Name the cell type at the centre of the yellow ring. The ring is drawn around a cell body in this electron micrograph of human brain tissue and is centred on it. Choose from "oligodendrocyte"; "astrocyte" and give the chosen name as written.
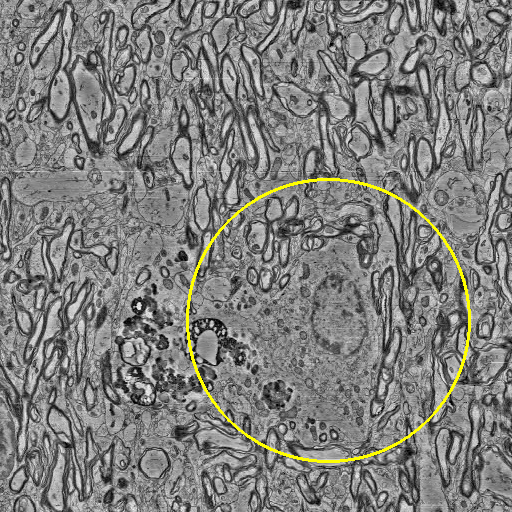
astrocyte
